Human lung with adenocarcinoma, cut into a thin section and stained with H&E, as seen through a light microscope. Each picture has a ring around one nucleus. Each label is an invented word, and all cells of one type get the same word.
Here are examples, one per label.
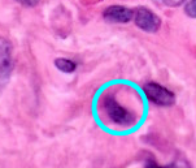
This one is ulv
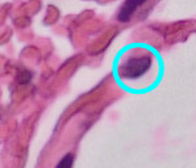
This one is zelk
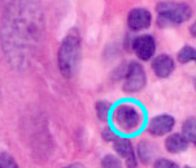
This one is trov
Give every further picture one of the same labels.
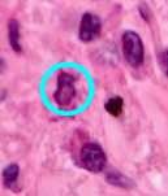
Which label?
ulv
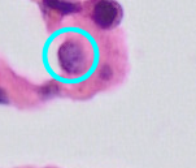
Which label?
zelk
